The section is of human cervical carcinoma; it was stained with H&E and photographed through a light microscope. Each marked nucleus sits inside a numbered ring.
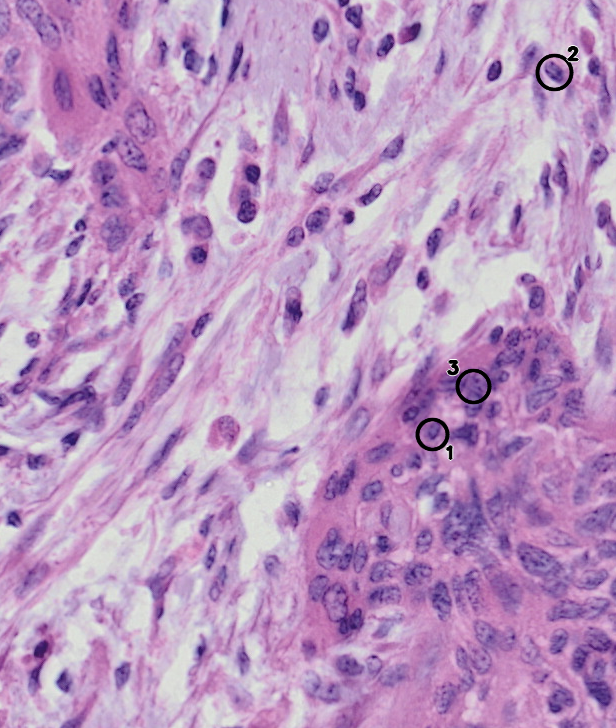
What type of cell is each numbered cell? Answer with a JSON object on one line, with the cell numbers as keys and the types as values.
{"1": "squamous carcinoma cell", "2": "lymphocyte", "3": "squamous carcinoma cell"}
